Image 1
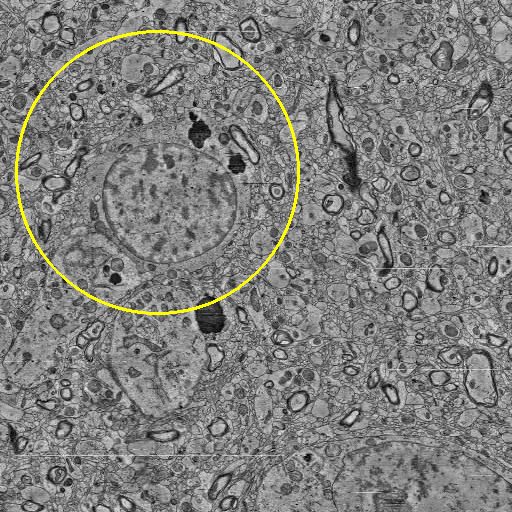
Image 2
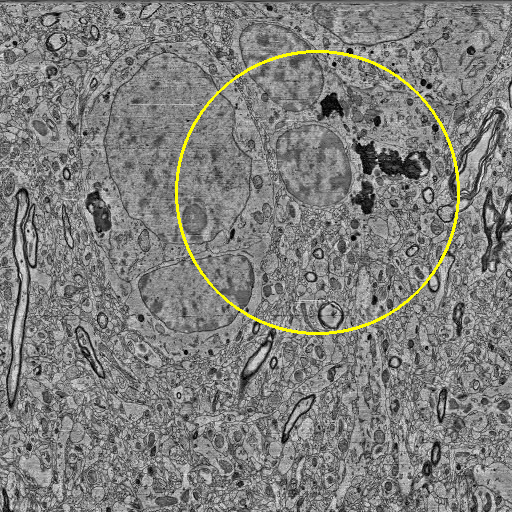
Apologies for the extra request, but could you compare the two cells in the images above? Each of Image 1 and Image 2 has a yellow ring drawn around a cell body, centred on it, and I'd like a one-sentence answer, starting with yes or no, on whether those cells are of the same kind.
Yes, both cells are of the same kind.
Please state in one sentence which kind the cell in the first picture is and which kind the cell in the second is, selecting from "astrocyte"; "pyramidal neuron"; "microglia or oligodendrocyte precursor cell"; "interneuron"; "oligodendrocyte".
Each of the two rings is centred on an oligodendrocyte.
